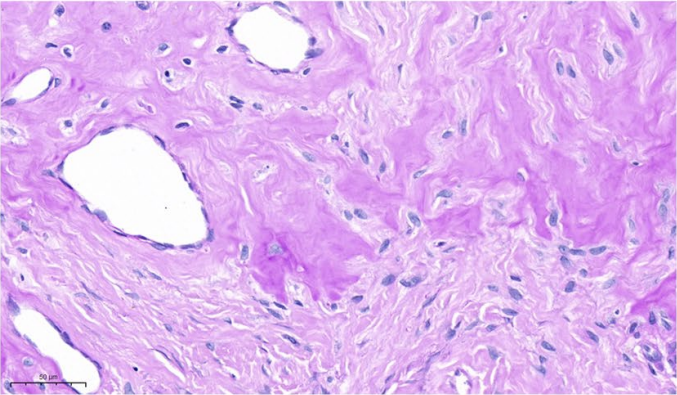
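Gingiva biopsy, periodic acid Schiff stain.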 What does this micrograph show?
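Thin-walled, empty vessels lined by flat endothelial nuclei sit in a stroma of loose fibres with scattered spindle-shaped cell nuclei. The fibrous strands around them look less intensely coloured, so these deposits are easy to pick out by their stronger, uniform colour.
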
